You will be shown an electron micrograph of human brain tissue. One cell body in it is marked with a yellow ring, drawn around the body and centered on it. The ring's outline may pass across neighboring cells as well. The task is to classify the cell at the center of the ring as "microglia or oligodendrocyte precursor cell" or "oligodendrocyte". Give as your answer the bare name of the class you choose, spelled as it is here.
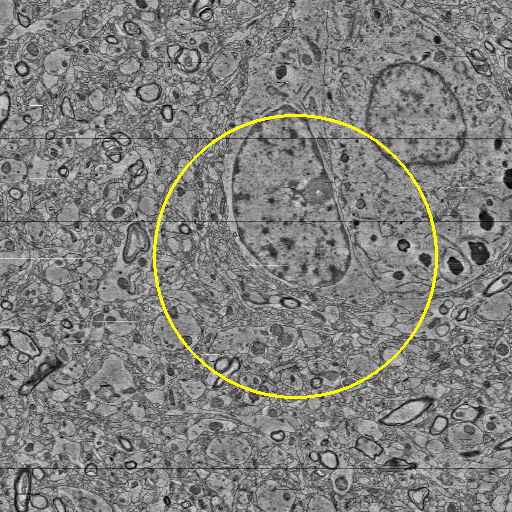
microglia or oligodendrocyte precursor cell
